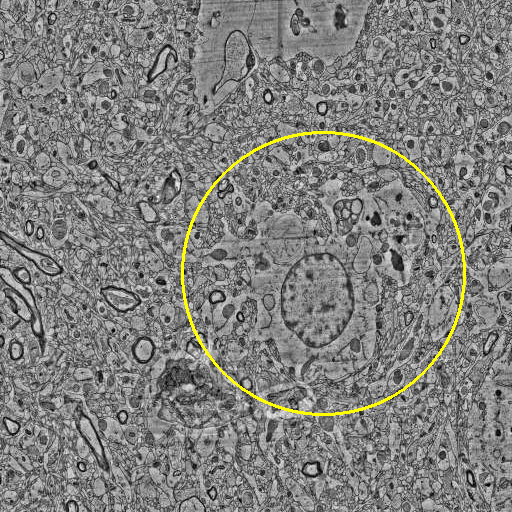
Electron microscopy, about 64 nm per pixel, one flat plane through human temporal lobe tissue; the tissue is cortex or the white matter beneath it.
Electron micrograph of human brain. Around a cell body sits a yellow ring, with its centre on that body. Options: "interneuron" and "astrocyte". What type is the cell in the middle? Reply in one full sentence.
The cell sitting at the centre of the yellow ring is an astrocyte.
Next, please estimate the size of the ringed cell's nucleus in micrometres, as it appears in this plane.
In this plane the nucleus is about 6 micrometres by 5.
